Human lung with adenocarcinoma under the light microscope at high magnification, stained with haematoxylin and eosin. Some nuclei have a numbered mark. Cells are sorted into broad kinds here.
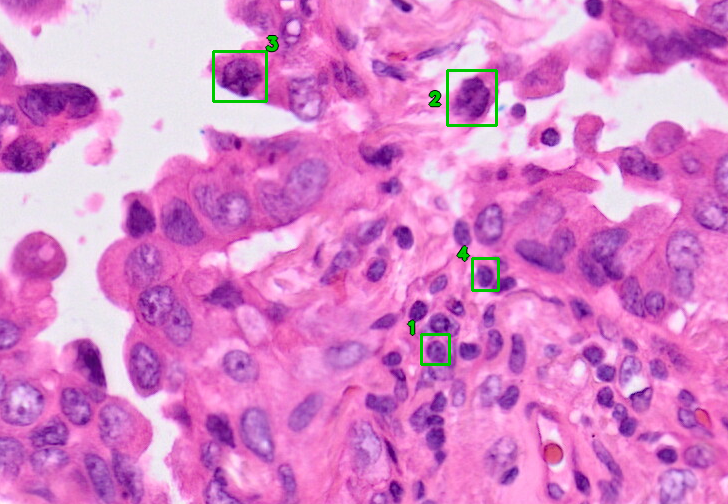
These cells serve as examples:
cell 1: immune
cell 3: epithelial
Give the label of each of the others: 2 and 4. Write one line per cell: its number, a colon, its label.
2: epithelial
4: immune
